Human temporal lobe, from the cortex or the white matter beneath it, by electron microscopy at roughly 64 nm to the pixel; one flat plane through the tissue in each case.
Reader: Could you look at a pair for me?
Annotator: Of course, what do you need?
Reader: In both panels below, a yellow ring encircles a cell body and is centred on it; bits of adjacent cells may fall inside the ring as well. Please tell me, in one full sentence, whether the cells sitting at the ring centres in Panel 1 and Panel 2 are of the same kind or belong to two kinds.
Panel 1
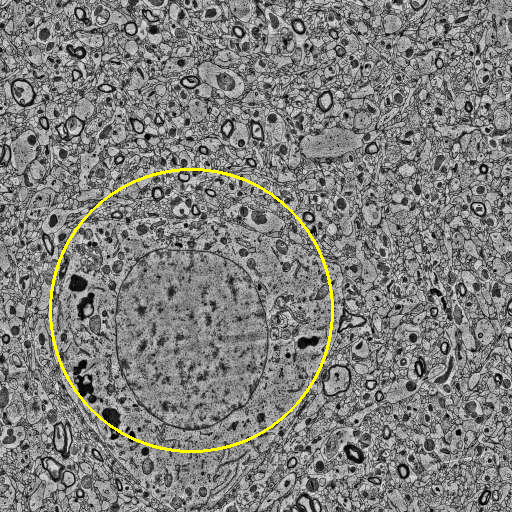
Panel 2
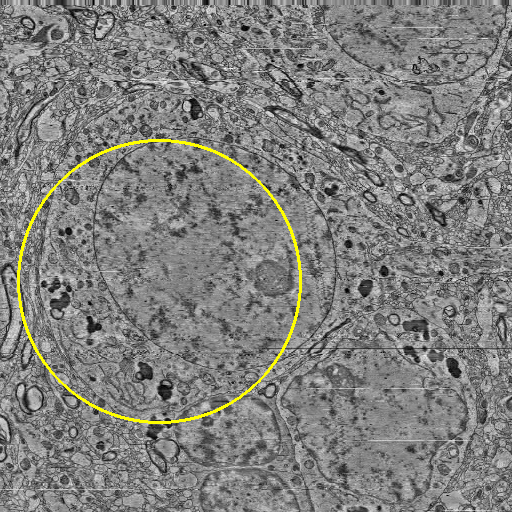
The cell at the ring's centre in Panel 1 and the one in Panel 2 are of the same kind.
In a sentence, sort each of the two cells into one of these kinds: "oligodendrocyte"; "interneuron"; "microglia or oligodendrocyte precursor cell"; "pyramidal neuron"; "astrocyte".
Each one of the two ringed cells is a pyramidal neuron.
